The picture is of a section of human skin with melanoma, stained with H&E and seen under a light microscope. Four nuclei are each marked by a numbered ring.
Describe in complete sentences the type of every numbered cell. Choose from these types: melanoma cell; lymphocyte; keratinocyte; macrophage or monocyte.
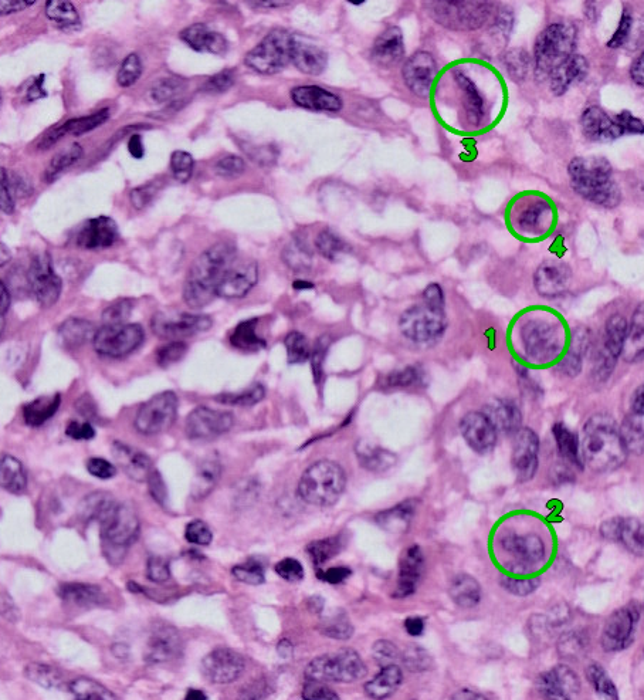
Cells 1, 2 and 3 are melanoma cells. Cell 4 is a macrophage or monocyte.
